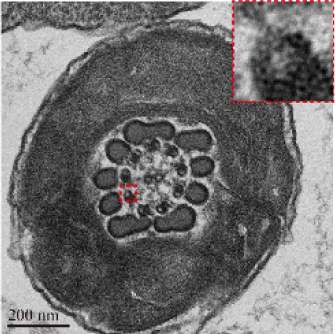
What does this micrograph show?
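A round cross-section of a sperm tail shows at its centre a ring of paired microtubules around a central pair, and around it nine large, dark, rounded dense fibers arranged like petals. Outside these lies a thick layer of mitochondrial profiles under the cell membrane, which marks this as the midpiece of the flagellum. The enlarged inset shows a single microtubule doublet.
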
